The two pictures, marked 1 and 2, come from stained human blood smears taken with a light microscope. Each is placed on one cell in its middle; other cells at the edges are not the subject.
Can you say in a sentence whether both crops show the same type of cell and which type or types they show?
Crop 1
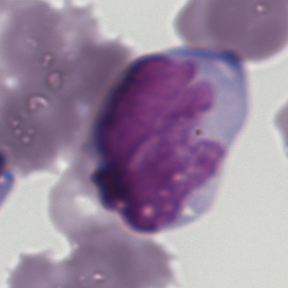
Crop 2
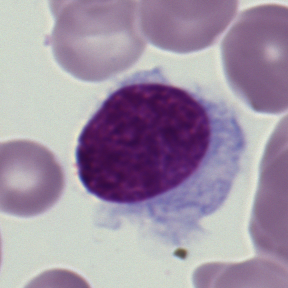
No, crop 1 holds a blast, and a hairy cell occupies crop 2.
